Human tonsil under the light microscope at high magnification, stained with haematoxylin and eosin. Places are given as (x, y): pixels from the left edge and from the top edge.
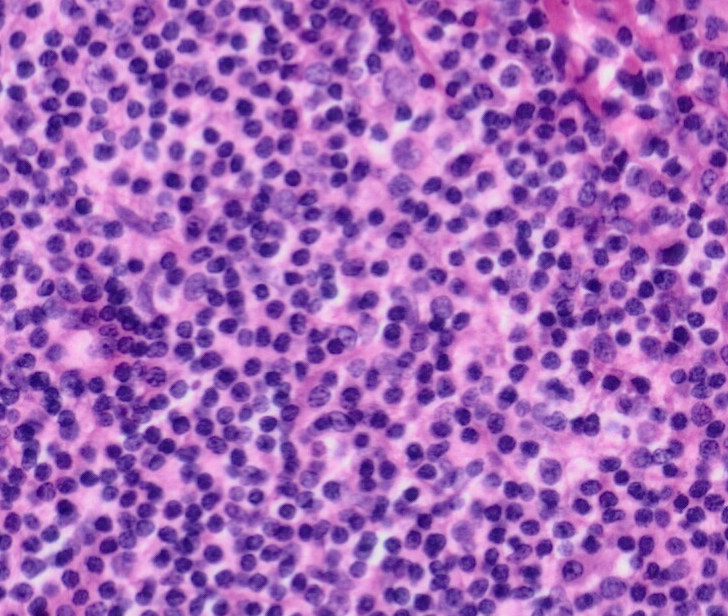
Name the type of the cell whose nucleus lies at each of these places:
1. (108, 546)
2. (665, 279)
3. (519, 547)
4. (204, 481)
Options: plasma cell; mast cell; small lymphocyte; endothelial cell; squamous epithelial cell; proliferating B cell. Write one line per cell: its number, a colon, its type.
1: small lymphocyte
2: plasma cell
3: small lymphocyte
4: small lymphocyte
